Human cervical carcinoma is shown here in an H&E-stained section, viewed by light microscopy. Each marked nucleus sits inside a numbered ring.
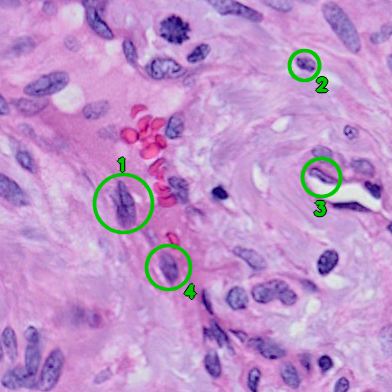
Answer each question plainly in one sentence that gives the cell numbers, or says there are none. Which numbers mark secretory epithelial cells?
Of the numbered cells, none can be classed as secretory epithelial cells.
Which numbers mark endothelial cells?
The cells to which the numbers 1, 3 and 4 refer are endothelial cells.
